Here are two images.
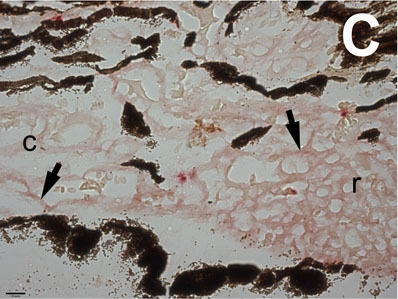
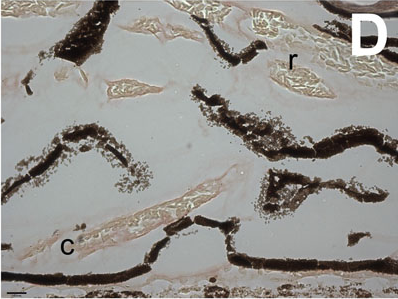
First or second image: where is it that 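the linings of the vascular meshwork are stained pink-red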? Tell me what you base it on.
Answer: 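Second image: the vascular spaces have pale, unstained linings with no red. First image: the honeycomb of small vascular channels is outlined in pink-red.
Hence: the first image.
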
